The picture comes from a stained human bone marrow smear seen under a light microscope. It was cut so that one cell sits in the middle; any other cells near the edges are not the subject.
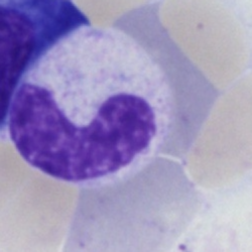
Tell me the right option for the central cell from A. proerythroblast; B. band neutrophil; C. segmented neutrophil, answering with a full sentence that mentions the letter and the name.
The centered cell is a band neutrophil, which is why option B is right.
